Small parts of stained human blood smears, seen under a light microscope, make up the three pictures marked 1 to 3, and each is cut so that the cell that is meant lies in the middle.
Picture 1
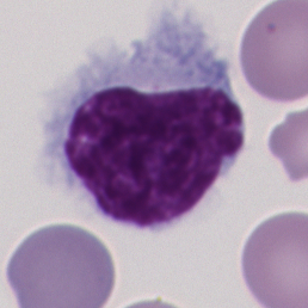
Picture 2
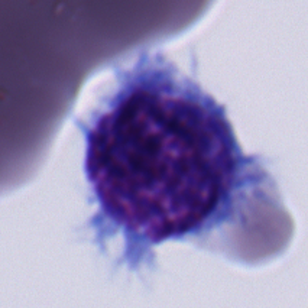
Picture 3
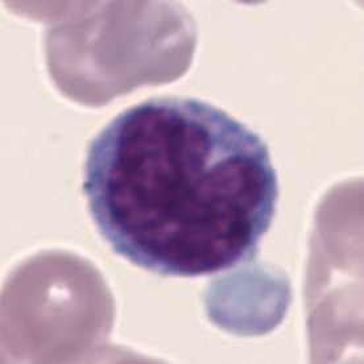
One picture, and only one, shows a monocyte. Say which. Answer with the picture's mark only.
3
